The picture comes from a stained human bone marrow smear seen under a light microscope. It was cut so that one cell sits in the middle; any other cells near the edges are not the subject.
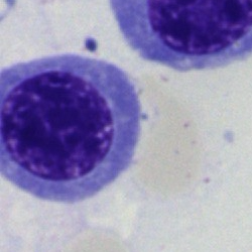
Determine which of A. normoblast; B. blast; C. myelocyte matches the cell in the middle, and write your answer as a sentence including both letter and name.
The central cell in this crop is a normoblast, so the correct choice is option A.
